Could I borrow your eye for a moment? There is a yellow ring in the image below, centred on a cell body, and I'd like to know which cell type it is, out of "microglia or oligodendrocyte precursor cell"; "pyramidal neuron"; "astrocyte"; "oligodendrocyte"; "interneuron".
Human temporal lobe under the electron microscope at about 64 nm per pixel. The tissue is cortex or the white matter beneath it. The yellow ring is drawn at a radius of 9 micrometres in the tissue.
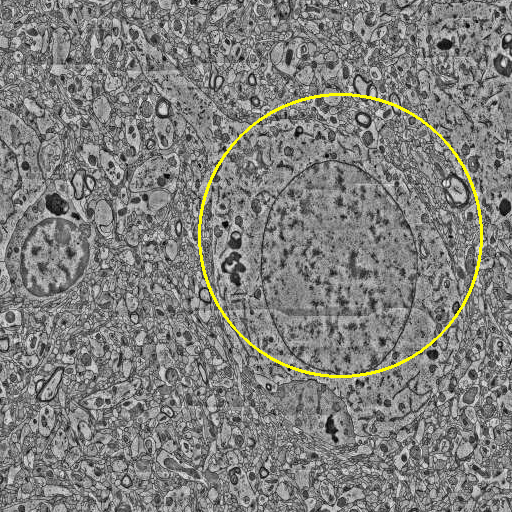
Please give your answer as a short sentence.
The cell body at the centre is that of a pyramidal neuron.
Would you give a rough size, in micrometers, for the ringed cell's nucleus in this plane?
The nucleus measures about 14 by 10 micrometres in this plane.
